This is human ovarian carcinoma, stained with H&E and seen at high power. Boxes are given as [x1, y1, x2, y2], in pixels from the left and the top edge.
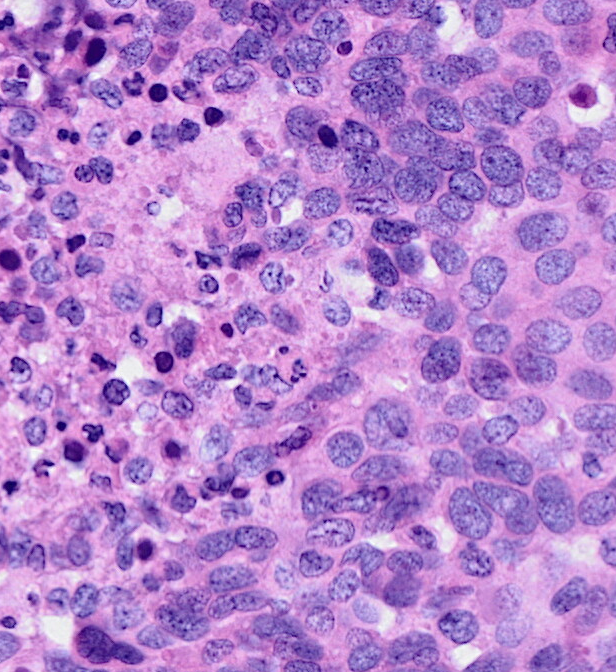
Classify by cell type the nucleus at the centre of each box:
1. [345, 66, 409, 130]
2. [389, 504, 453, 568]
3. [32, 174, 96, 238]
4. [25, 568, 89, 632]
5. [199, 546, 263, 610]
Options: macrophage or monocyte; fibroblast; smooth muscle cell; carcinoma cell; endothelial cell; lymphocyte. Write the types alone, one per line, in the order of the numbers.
carcinoma cell
macrophage or monocyte
macrophage or monocyte
macrophage or monocyte
carcinoma cell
